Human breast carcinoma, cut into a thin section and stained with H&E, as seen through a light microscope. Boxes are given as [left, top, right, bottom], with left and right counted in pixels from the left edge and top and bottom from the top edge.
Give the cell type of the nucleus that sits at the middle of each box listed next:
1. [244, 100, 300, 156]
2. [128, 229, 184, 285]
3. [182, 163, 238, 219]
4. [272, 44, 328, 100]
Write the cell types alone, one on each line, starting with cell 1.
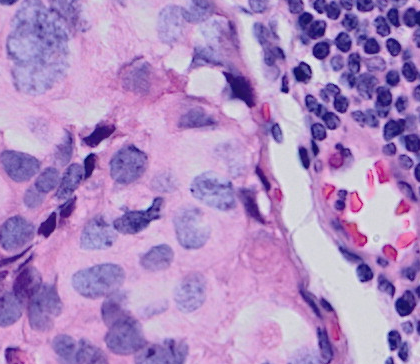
endothelial cell
carcinoma cell
carcinoma cell
lymphocyte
